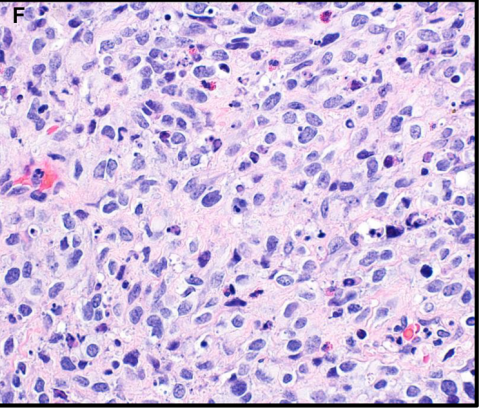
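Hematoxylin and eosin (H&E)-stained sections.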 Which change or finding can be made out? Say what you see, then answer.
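Several cells show dark condensed, irregular chromatin clumps. Spindled to ovoid cells lie in a loose pale stroma. The answer: abundant mitotic figures.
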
